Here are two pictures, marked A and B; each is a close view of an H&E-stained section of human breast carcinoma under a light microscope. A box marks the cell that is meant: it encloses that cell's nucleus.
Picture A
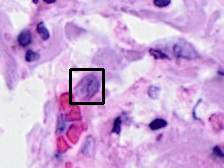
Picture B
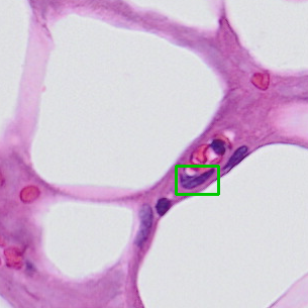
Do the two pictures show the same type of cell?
yes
